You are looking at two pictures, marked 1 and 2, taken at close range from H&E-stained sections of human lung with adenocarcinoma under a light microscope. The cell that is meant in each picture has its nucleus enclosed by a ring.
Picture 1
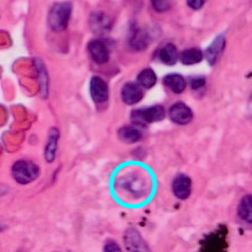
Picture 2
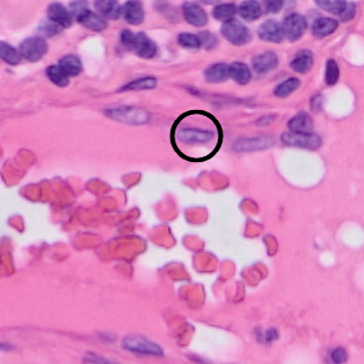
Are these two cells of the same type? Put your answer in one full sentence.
No, the types are not the same, since picture 1 shows a fibroblast and picture 2 an endothelial cell.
